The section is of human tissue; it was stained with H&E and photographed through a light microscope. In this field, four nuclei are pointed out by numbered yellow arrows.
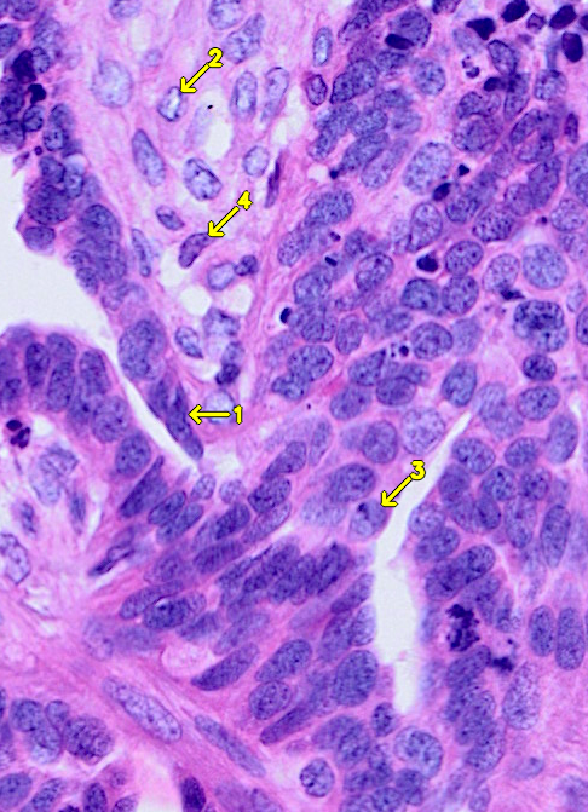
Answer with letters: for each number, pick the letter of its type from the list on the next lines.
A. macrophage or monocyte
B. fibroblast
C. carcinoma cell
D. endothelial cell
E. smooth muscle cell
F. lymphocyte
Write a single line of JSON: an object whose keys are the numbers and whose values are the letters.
{"1": "C", "2": "B", "3": "C", "4": "A"}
